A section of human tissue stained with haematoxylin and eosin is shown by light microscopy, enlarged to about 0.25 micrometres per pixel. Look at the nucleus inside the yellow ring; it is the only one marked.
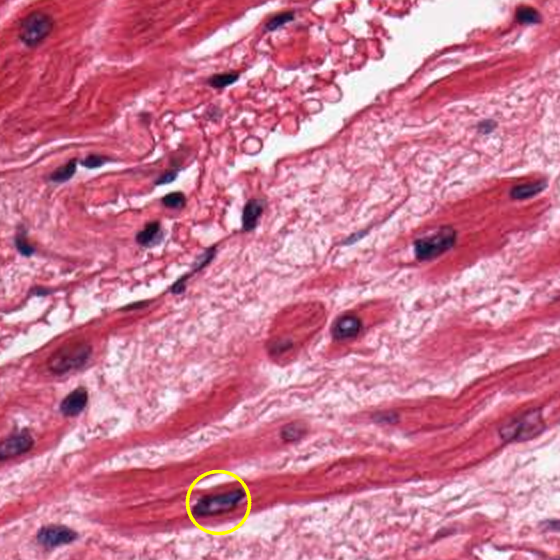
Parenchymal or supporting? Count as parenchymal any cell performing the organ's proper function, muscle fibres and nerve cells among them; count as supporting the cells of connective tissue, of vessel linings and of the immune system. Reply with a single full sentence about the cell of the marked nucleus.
The marked nucleus belongs to the parenchyma, being the nucleus of a cardiomyocyte.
